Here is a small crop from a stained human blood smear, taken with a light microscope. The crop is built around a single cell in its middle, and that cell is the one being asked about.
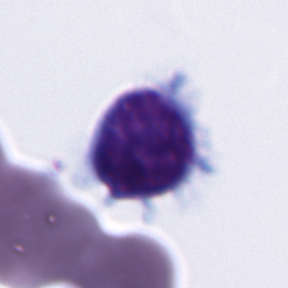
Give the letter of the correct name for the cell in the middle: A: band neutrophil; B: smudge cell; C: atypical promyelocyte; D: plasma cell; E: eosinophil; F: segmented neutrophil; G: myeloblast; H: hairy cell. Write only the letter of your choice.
H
